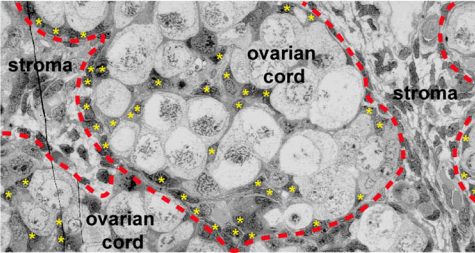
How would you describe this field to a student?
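Within each cord the germ cells have big round nuclei with clumped chromatin, while small, dark, flattened pre-granulosa cells are wedged between them and along the cord edges. The stroma between the cords contains loosely arranged, elongated dark cells and fibrous material.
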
